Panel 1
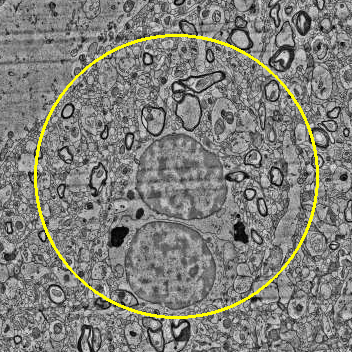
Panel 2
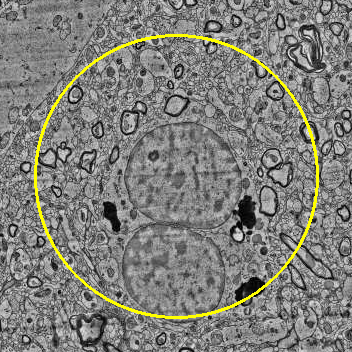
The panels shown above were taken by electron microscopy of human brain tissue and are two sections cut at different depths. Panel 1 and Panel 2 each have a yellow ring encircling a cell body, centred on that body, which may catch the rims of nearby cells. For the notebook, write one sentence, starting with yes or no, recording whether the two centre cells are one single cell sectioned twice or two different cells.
Yes, each ring singles out the same cell.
